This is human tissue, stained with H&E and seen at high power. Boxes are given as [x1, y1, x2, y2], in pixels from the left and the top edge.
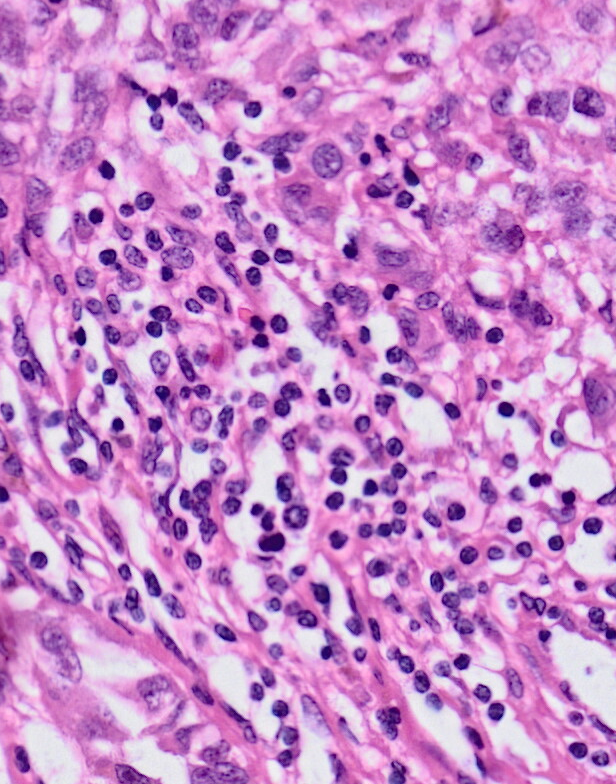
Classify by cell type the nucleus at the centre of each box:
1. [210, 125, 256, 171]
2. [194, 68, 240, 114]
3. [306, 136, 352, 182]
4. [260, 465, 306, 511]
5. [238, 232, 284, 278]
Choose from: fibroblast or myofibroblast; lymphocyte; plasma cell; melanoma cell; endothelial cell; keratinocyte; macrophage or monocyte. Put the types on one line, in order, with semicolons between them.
lymphocyte; melanoma cell; melanoma cell; lymphocyte; lymphocyte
